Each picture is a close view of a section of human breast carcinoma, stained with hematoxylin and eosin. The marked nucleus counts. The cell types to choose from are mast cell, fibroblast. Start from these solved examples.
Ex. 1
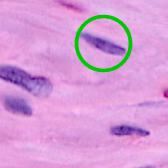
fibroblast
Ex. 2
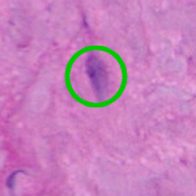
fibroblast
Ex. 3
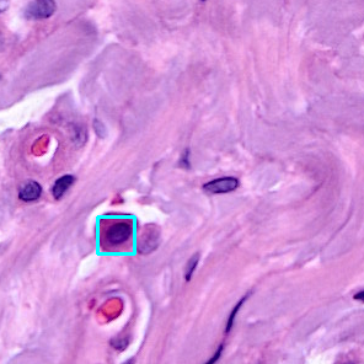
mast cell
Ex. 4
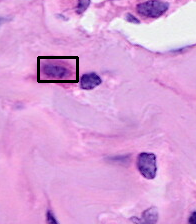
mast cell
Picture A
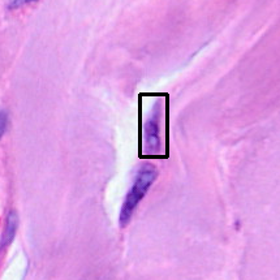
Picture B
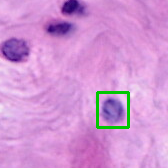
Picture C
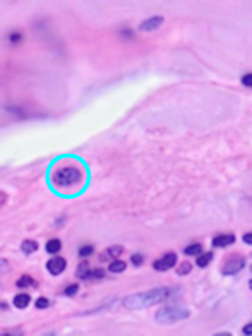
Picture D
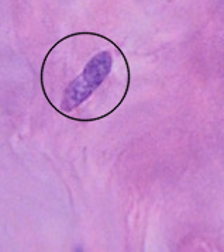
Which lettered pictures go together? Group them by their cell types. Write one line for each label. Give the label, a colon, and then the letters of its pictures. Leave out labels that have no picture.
mast cell: B, C
fibroblast: A, D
